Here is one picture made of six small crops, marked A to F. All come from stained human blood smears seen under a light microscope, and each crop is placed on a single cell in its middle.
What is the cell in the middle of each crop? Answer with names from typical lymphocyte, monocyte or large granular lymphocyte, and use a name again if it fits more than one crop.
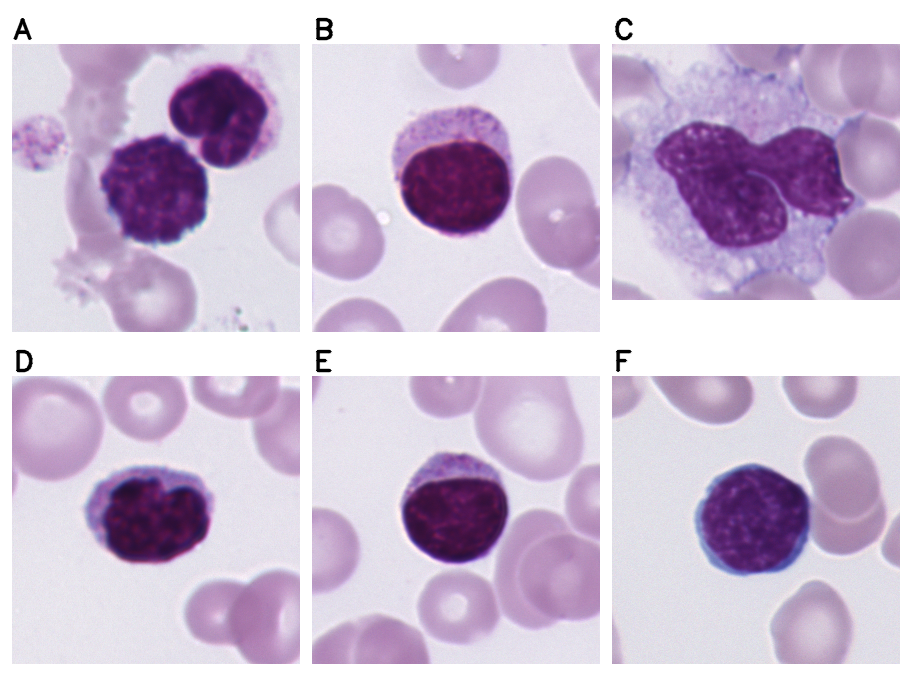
A: typical lymphocyte
B: large granular lymphocyte
C: monocyte
D: typical lymphocyte
E: large granular lymphocyte
F: typical lymphocyte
